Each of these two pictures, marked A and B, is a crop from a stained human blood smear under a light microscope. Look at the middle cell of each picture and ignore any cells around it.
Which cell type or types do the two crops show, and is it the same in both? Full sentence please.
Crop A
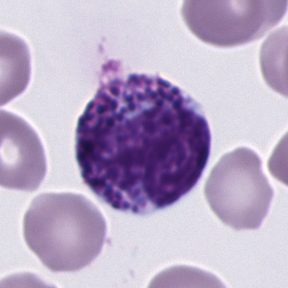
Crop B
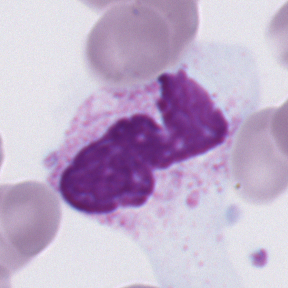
No, that is not right; crop A shows a basophil and crop B shows a segmented neutrophil.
